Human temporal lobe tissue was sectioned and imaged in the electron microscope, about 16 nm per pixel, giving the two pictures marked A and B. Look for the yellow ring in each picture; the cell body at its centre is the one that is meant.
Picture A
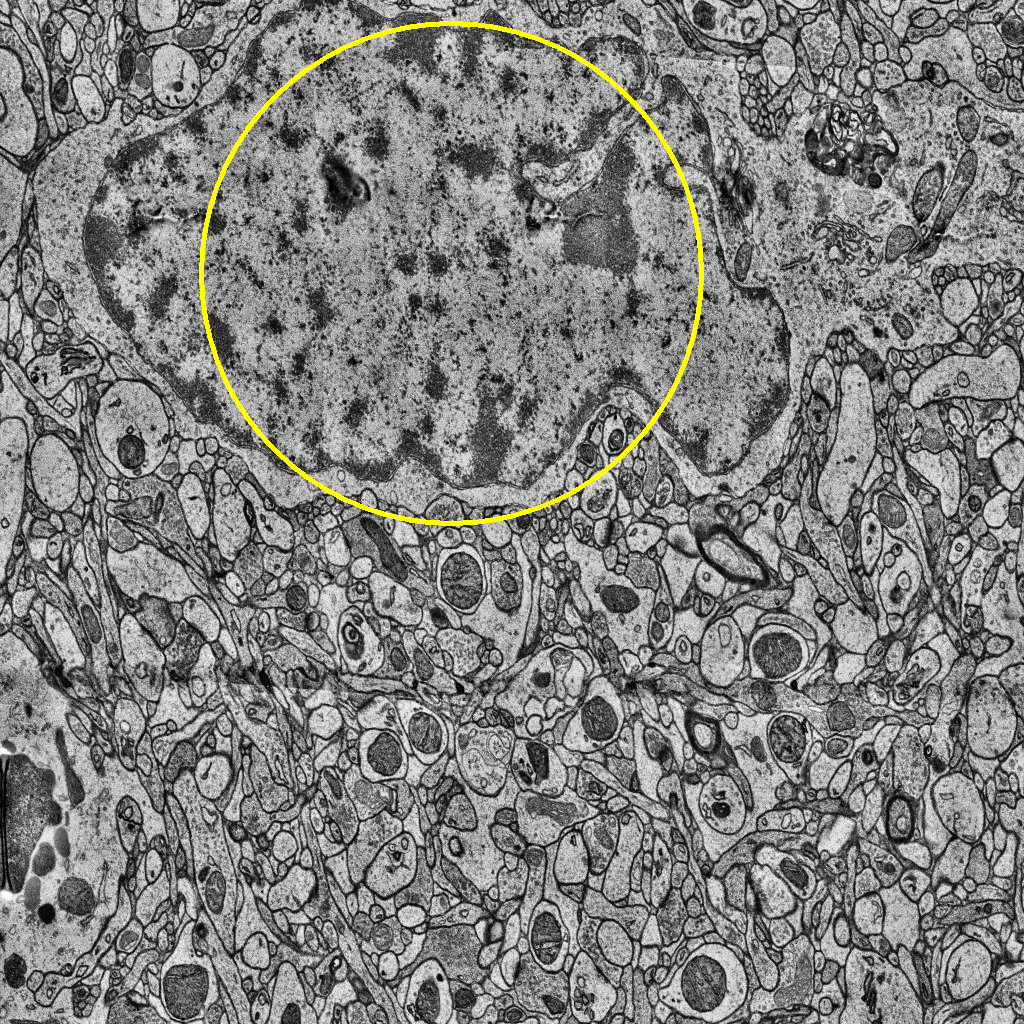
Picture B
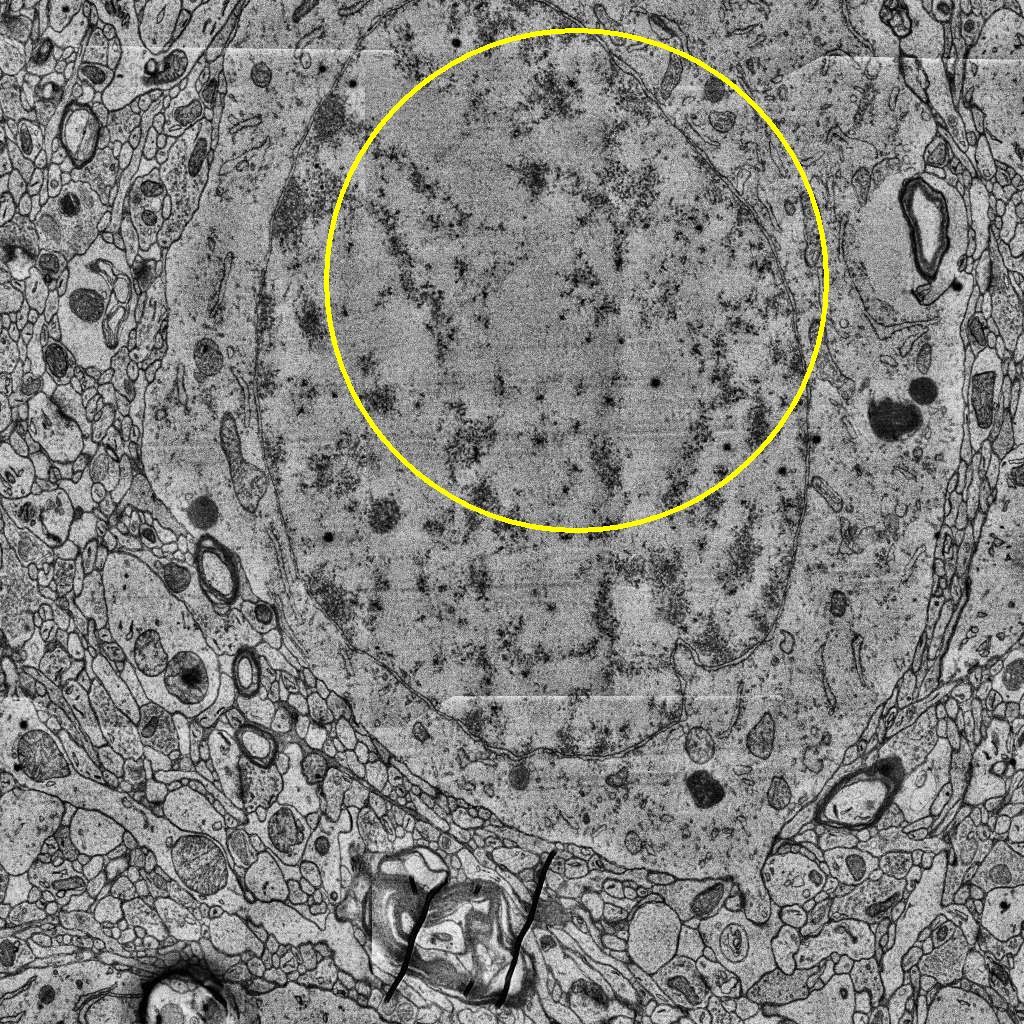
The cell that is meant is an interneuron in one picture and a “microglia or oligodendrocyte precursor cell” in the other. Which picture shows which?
In picture A the cell is a “microglia or oligodendrocyte precursor cell”; in picture B, an interneuron.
